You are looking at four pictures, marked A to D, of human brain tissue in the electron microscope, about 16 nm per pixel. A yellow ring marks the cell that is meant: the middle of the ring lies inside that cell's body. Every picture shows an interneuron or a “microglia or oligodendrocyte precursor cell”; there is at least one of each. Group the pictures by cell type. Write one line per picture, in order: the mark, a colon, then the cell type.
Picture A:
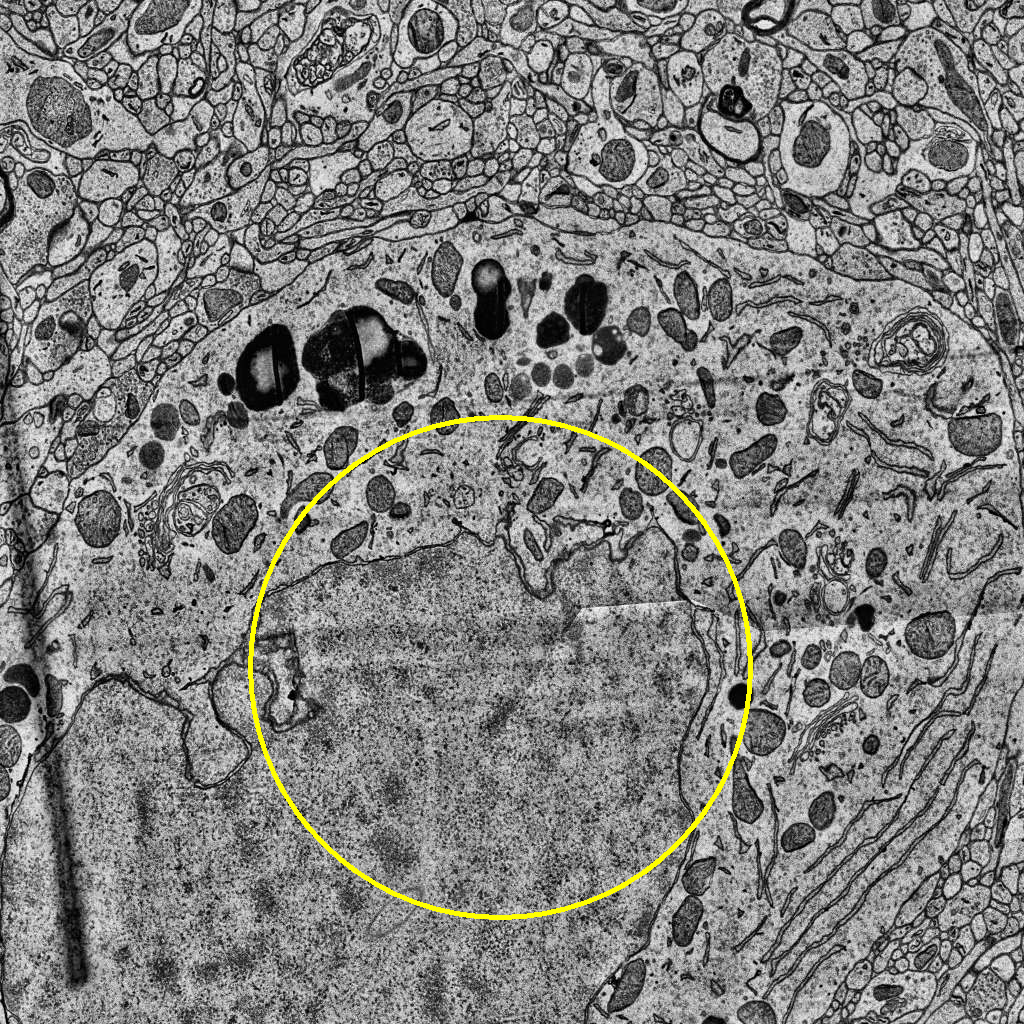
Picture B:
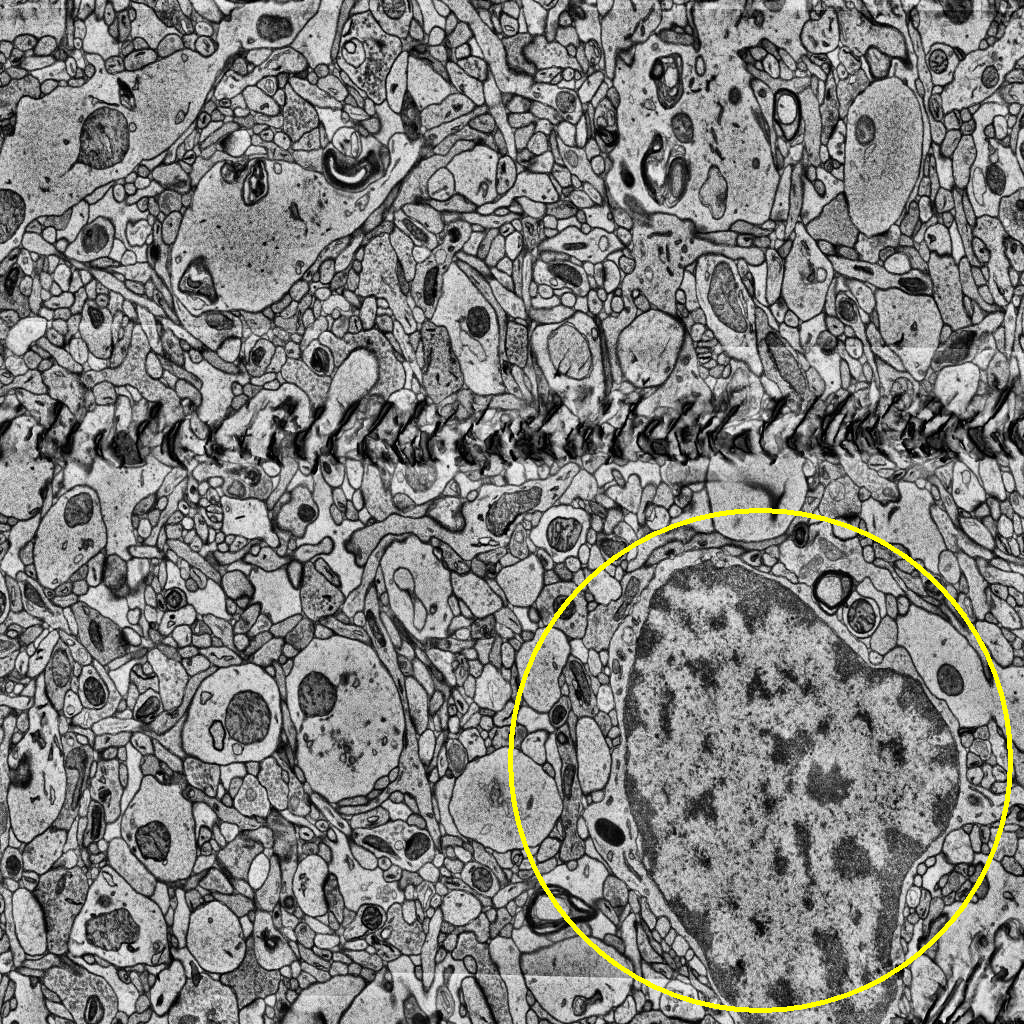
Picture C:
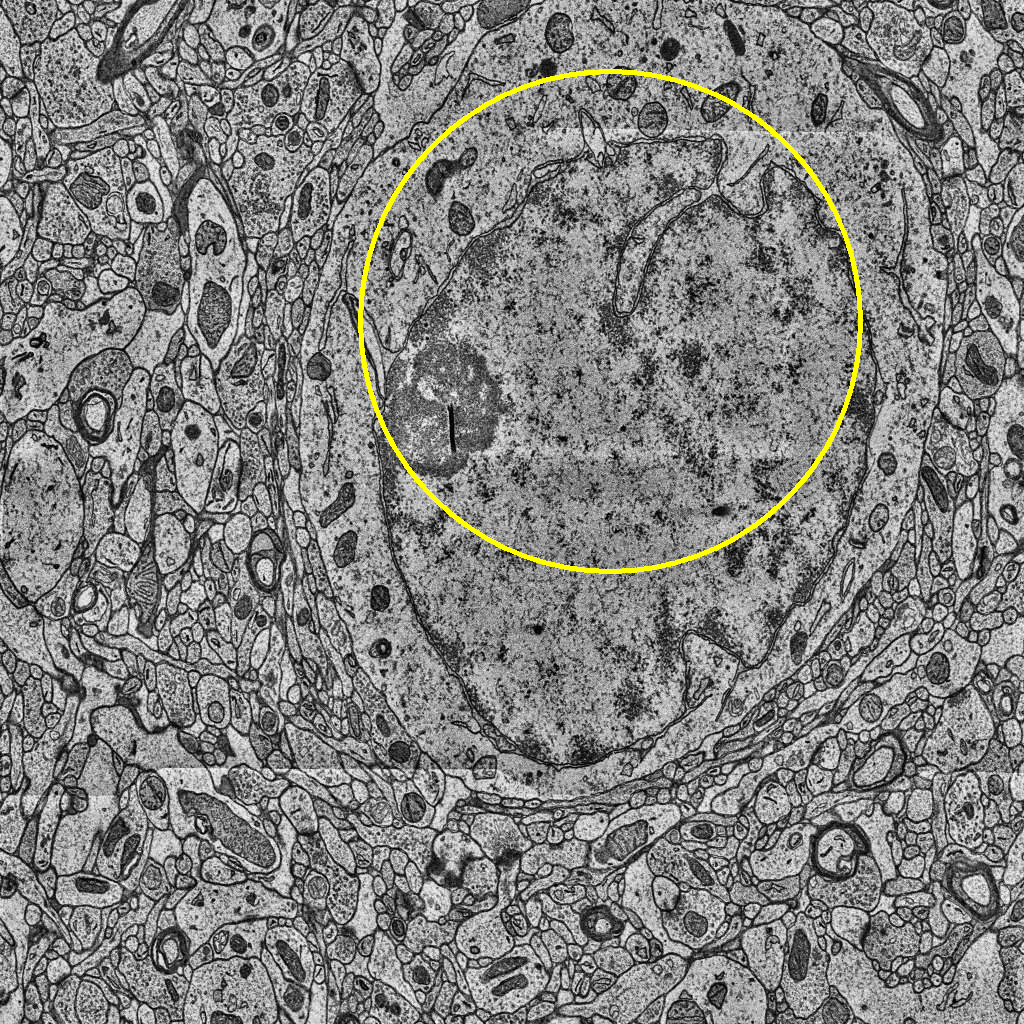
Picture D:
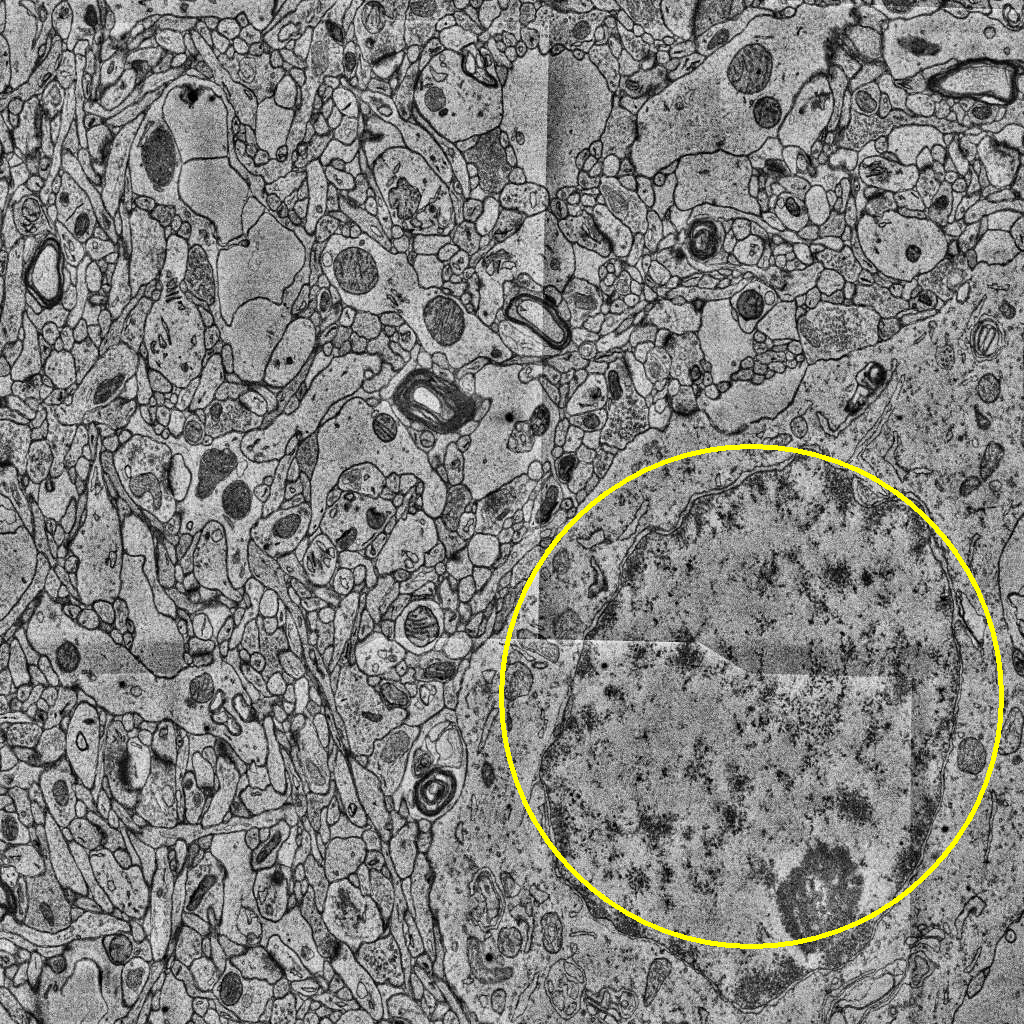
A: interneuron
B: microglia or oligodendrocyte precursor cell
C: interneuron
D: interneuron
